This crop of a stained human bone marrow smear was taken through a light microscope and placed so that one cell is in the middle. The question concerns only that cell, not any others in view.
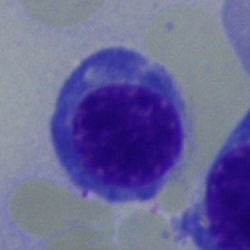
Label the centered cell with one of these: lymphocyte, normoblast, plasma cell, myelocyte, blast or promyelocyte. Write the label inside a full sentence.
Classified as a normoblast is the cell in the middle of this crop.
